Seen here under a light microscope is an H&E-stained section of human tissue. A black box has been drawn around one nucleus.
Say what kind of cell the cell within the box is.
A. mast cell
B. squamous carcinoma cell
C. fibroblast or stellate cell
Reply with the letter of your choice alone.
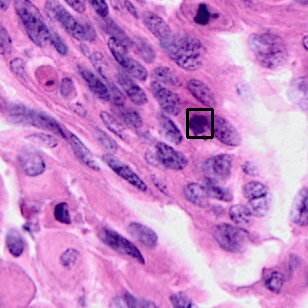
B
